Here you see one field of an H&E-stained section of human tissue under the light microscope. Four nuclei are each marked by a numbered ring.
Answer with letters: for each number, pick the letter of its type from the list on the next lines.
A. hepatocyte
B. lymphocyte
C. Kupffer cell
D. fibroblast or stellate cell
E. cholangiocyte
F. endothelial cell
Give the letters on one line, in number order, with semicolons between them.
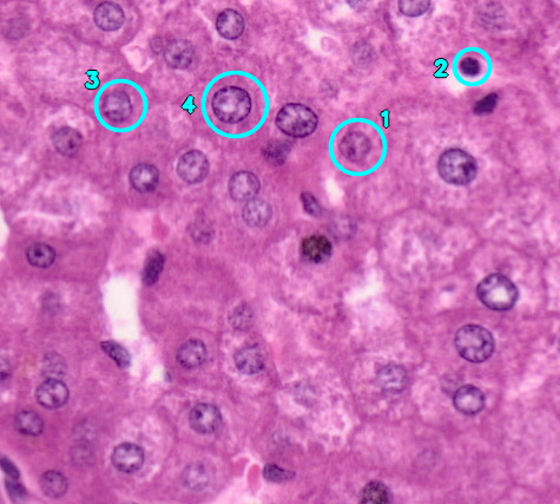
A; B; A; A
